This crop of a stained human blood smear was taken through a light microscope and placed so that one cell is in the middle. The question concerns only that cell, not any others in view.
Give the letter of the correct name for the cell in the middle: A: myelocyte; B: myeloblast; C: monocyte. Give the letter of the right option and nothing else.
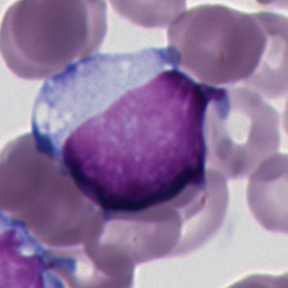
B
